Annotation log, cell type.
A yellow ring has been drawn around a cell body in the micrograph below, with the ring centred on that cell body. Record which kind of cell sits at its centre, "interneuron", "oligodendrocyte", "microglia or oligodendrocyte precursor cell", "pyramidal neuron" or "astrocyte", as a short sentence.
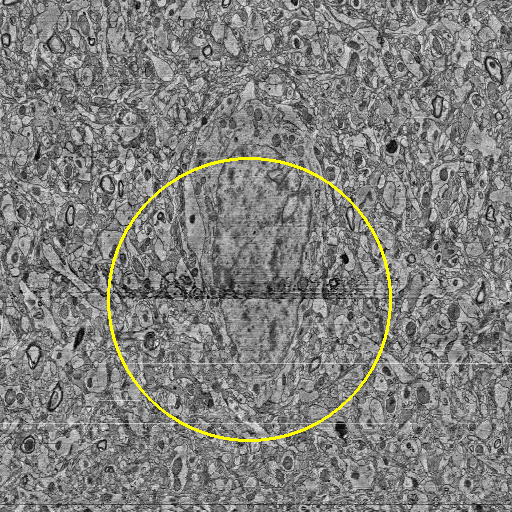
The cell at the centre of this ring is an interneuron.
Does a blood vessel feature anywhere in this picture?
No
